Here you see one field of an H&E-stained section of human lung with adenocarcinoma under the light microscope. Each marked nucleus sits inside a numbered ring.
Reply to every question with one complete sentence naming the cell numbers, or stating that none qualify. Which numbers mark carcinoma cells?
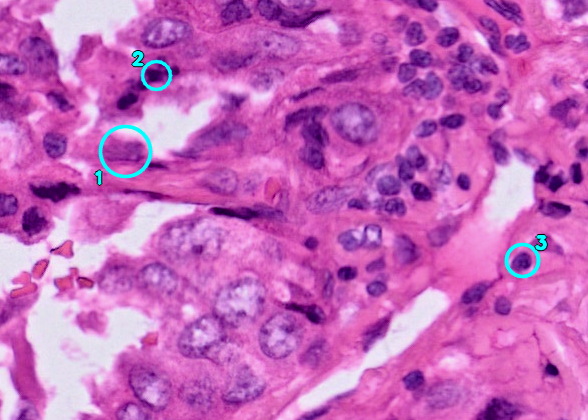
Cells 1 and 2 are of one type, namely carcinoma cells.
